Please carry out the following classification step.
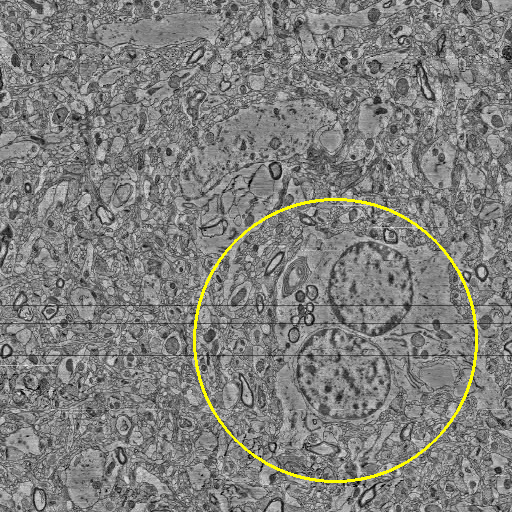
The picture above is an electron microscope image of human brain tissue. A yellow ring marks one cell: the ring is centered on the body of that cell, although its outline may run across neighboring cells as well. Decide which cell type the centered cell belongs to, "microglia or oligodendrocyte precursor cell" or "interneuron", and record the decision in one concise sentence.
The cell centered in the yellow ring is a microglial cell or oligodendrocyte precursor cell.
